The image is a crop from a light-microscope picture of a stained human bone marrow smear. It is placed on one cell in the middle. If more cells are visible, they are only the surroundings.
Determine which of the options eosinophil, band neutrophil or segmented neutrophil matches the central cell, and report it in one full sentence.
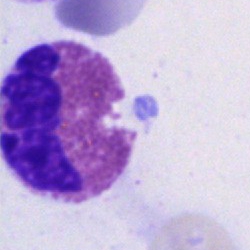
The cell that lies at the centre of the crop is an eosinophil.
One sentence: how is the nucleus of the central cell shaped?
Counting the nuclear lobes gives a total of at least two.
